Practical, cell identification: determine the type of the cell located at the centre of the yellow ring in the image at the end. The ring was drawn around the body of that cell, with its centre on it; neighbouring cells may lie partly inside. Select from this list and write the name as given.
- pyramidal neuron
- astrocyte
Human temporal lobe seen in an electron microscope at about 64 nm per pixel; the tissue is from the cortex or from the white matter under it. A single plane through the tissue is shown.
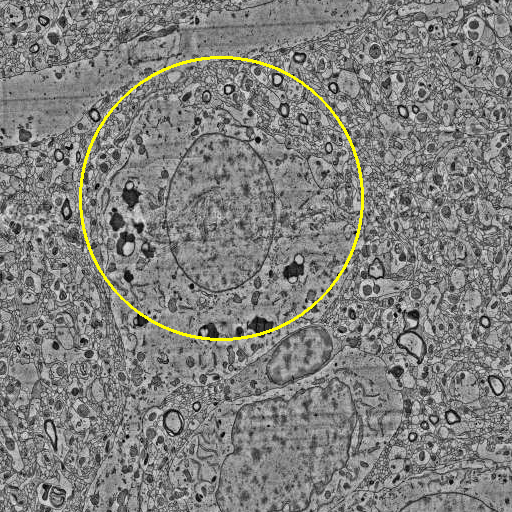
pyramidal neuron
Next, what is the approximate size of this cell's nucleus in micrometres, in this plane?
About 10 by 7 micrometers, in this plane.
